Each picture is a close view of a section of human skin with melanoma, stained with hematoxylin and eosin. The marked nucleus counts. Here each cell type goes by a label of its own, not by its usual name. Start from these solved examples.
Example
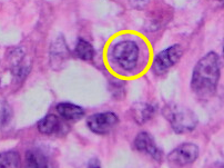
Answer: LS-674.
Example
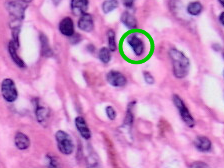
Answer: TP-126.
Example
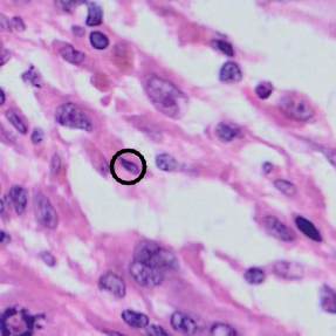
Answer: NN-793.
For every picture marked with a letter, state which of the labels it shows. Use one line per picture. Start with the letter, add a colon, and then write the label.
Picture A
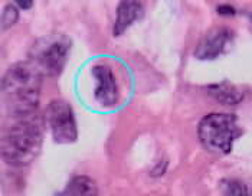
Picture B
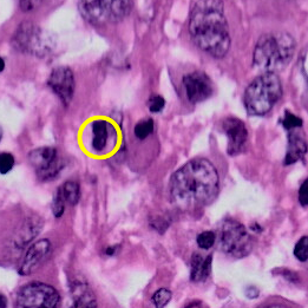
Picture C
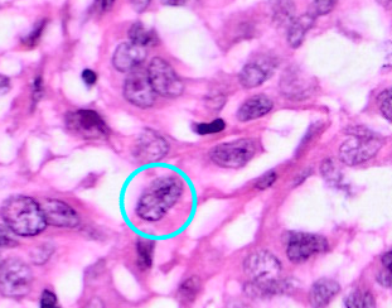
A: LS-674.
B: TP-126.
C: LS-674.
